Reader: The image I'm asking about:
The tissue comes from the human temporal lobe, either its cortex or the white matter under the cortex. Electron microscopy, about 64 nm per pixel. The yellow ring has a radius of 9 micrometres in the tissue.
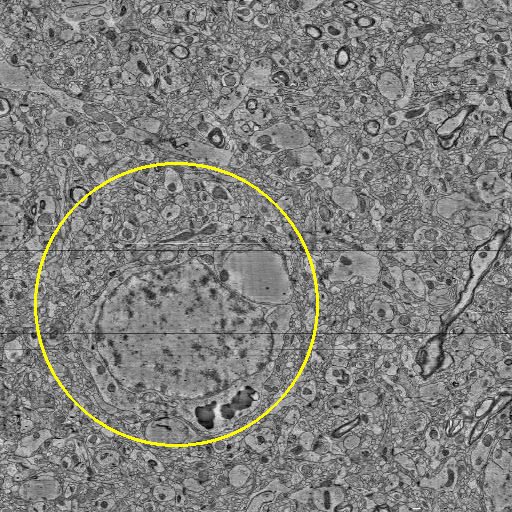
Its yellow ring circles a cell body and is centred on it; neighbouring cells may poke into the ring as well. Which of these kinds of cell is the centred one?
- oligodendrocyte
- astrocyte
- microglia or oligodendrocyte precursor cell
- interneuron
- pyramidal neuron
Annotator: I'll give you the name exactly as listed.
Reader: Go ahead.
interneuron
